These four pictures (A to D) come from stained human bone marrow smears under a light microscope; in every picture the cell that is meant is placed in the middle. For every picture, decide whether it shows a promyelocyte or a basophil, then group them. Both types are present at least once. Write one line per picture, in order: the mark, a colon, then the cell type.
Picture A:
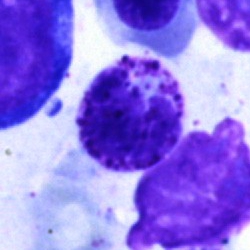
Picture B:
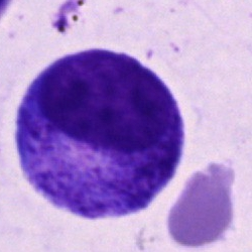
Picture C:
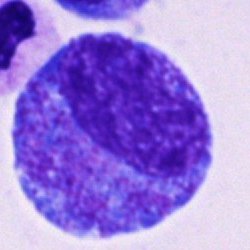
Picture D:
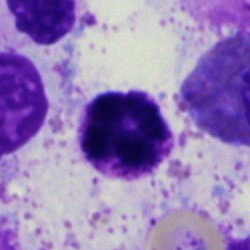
A: basophil
B: promyelocyte
C: promyelocyte
D: basophil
